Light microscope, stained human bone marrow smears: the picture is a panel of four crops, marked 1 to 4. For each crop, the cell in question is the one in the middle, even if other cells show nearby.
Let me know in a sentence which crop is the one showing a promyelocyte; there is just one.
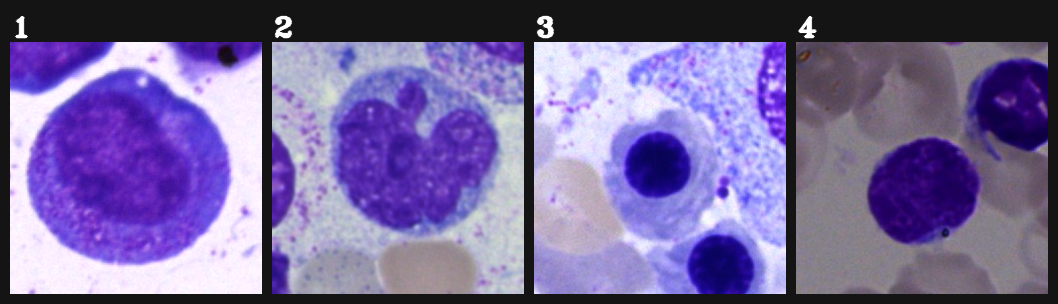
That would be crop 1; it shows a promyelocyte.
